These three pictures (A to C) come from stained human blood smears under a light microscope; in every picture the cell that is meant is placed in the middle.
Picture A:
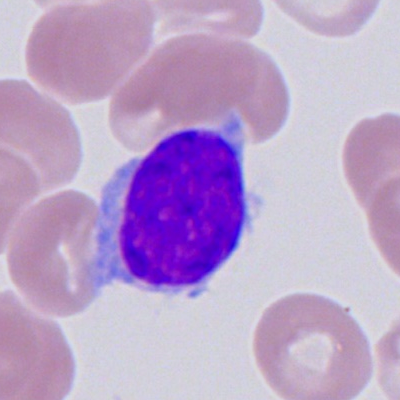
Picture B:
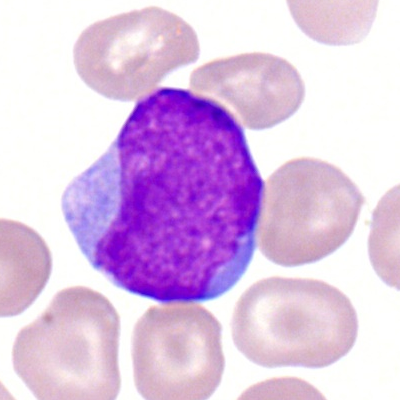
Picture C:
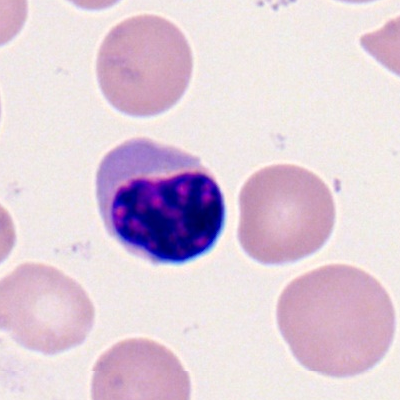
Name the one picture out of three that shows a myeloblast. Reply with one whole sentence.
The myeloblast is the one in picture B.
